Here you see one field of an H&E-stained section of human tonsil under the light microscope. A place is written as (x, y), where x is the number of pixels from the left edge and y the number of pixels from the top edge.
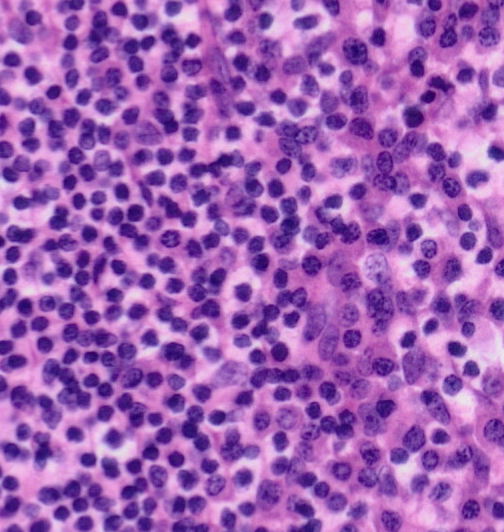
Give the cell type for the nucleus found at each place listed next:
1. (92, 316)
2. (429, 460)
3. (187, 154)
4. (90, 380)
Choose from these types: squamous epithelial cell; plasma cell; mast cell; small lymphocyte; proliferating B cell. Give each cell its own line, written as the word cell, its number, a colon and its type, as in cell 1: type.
cell 1: small lymphocyte
cell 2: plasma cell
cell 3: small lymphocyte
cell 4: small lymphocyte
